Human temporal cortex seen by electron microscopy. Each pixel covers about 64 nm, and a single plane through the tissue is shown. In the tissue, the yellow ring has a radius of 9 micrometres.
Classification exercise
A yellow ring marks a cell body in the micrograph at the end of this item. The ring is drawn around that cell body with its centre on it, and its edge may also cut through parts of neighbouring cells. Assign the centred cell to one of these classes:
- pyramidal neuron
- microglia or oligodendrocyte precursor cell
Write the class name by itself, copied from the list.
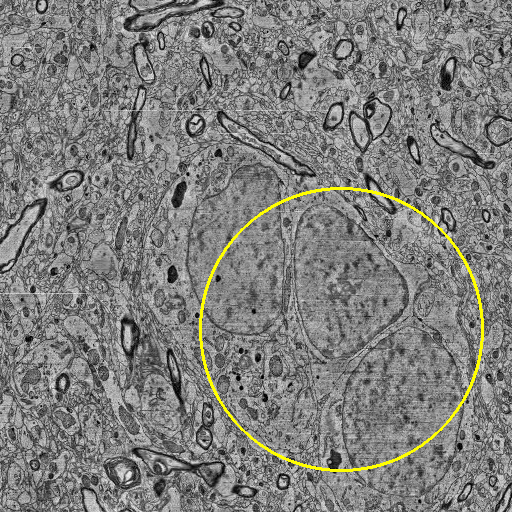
microglia or oligodendrocyte precursor cell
